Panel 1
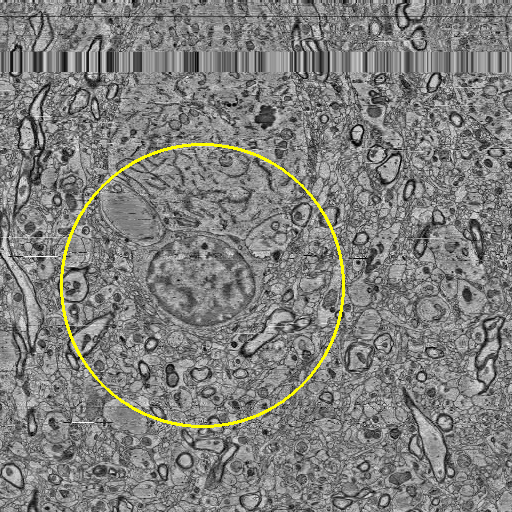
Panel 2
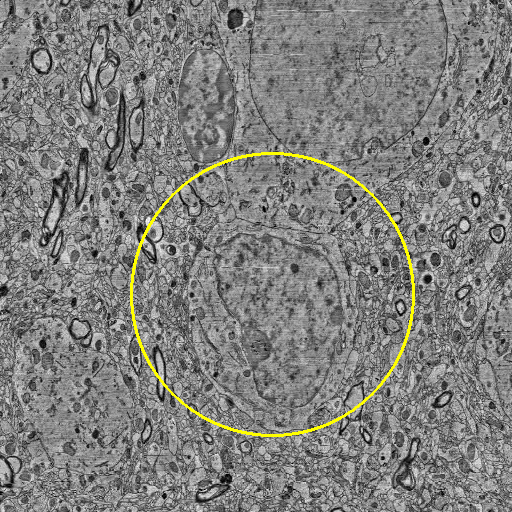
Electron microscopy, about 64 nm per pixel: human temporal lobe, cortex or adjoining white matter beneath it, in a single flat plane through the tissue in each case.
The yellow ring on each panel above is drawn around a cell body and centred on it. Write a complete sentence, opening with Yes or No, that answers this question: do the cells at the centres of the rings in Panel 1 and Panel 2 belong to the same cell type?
No, the two cells belong to two cell types.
